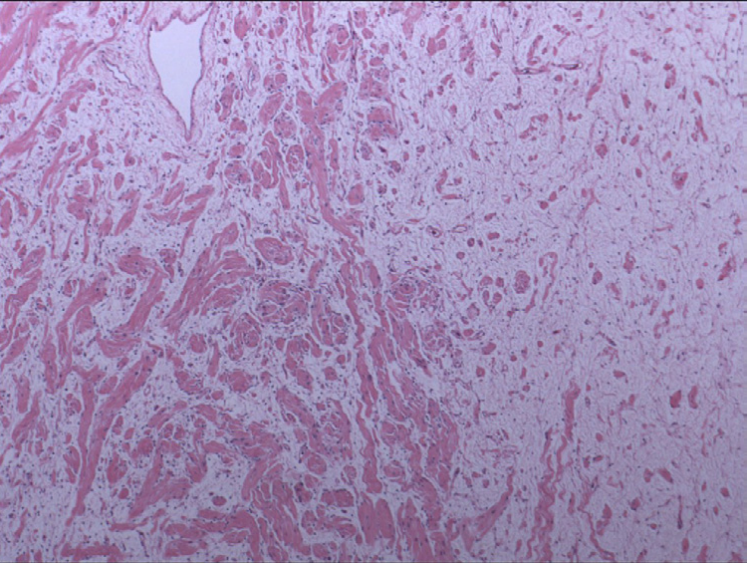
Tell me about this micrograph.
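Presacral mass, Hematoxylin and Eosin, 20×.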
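This is a low-power view of a spindle cell lesion made of a haphazard admixture of wavy spindle cells and collagen fibers set in a loose, pale matrix. The collagen appears as bright pink bundles of varying thickness that run in many directions without orderly arrangement. The bundles are closely packed on the left of the field and become sparse and thin on the right. Between them lies a pale, loose, finely fibrillary background. Small, dark, elongated nuclei are scattered sparsely among the bundles. A thin-walled vascular space is seen near the top of the field.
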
